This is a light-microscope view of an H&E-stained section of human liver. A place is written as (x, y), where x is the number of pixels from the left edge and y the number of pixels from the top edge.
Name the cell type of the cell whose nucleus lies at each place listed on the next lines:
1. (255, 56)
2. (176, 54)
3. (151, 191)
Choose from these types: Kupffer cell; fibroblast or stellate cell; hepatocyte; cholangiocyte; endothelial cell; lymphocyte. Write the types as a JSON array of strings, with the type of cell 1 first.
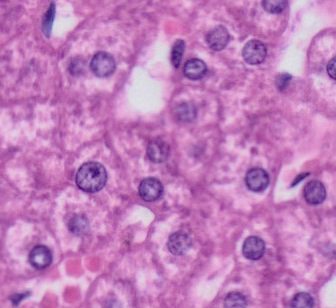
["hepatocyte", "Kupffer cell", "hepatocyte"]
